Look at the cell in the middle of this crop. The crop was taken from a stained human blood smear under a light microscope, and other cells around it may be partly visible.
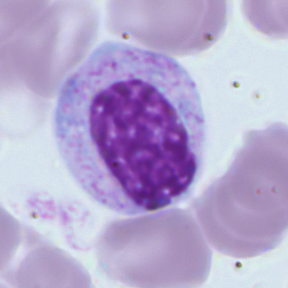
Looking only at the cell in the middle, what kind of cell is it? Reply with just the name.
metamyelocyte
